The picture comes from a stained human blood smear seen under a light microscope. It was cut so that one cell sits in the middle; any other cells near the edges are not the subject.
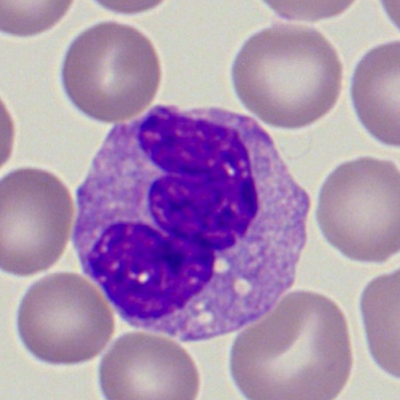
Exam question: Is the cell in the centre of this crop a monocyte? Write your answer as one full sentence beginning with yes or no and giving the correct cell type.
Yes, the middle cell in this crop is a monocyte.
